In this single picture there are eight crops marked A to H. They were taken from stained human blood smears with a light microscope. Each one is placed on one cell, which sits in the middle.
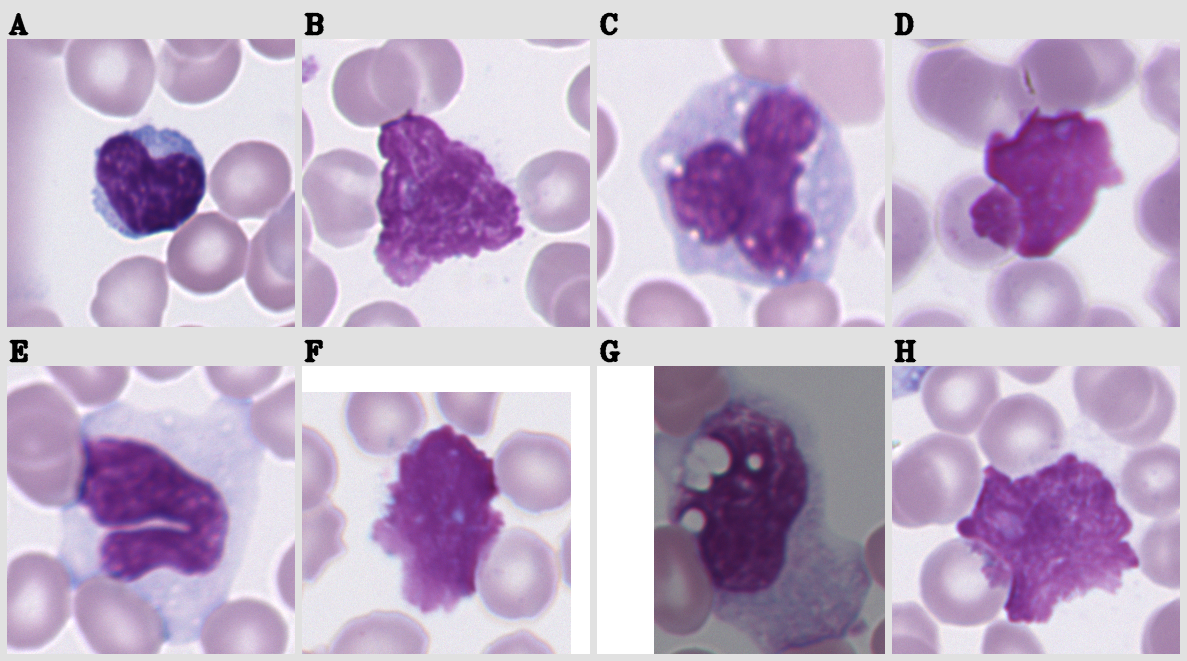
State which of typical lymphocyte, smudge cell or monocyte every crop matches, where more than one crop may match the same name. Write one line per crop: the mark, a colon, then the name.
A: typical lymphocyte
B: smudge cell
C: monocyte
D: smudge cell
E: monocyte
F: smudge cell
G: monocyte
H: smudge cell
